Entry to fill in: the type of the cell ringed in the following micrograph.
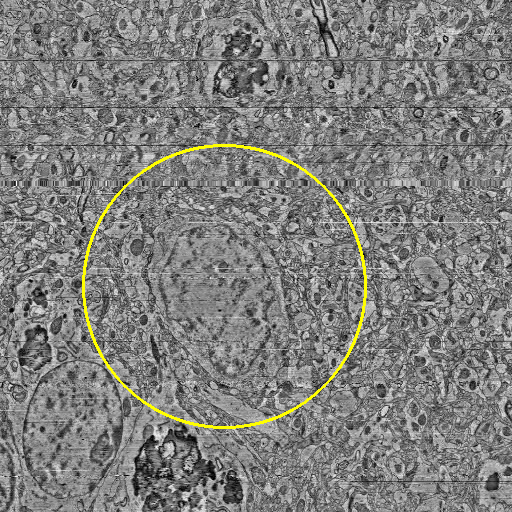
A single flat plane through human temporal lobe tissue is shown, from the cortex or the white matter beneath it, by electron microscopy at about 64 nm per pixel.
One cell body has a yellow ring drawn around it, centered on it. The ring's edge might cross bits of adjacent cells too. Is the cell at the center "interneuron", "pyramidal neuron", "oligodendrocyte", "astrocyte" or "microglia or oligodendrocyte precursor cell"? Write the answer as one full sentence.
This entry names an interneuron as the cell whose body lies at the ring's center.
